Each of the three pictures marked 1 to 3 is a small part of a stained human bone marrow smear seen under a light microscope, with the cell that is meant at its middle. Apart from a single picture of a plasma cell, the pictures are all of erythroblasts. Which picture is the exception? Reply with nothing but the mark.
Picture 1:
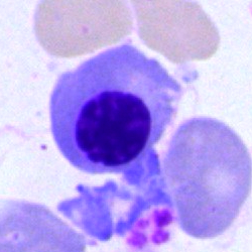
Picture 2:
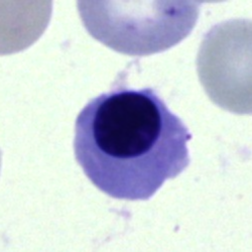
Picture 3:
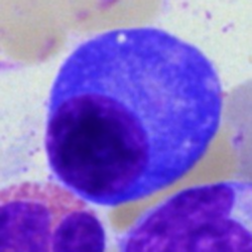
3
